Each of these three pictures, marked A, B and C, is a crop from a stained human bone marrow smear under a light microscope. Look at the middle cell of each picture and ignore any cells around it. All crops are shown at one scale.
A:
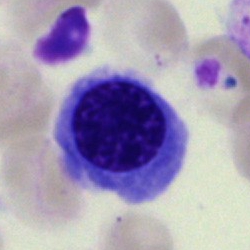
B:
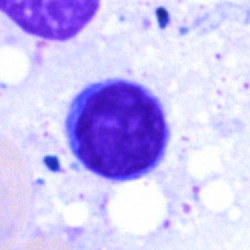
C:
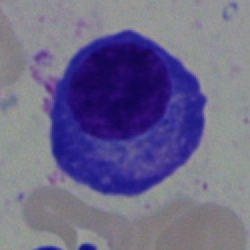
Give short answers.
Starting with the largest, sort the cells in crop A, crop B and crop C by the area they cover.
C, A, B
